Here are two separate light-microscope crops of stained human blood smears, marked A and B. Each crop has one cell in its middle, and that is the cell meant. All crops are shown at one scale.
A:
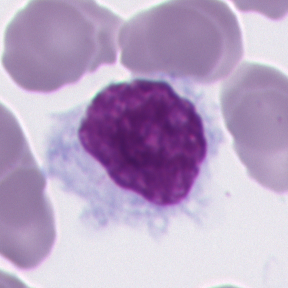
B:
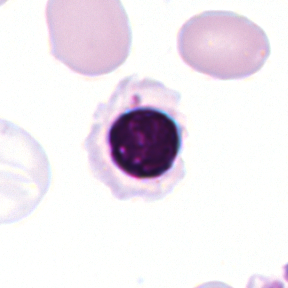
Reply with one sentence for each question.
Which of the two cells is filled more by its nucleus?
In crop A the nucleus takes up the larger part of its cell.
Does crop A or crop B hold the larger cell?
Larger is the cell in crop A, at roughly 2 times the area of the other.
